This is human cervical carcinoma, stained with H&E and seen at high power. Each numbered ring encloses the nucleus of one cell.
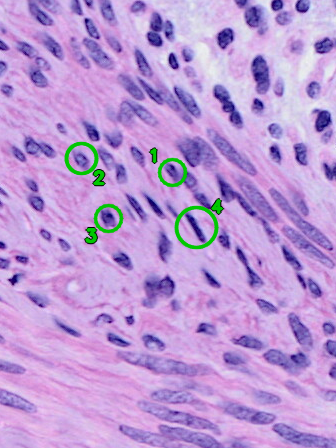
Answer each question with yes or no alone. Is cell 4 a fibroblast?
yes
